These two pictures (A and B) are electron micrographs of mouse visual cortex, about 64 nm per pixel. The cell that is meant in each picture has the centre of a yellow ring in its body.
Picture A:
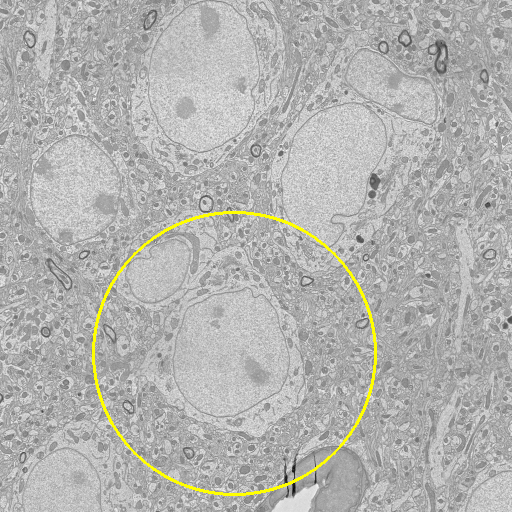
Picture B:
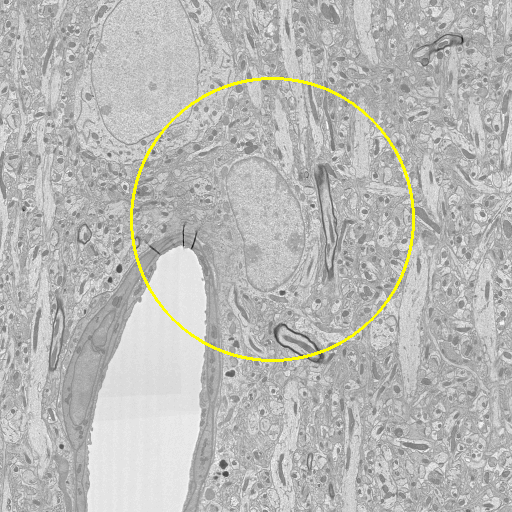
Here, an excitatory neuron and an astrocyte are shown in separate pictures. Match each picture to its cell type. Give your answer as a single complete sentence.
The cell in picture A is an excitatory neuron, and the one in picture B is an astrocyte.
